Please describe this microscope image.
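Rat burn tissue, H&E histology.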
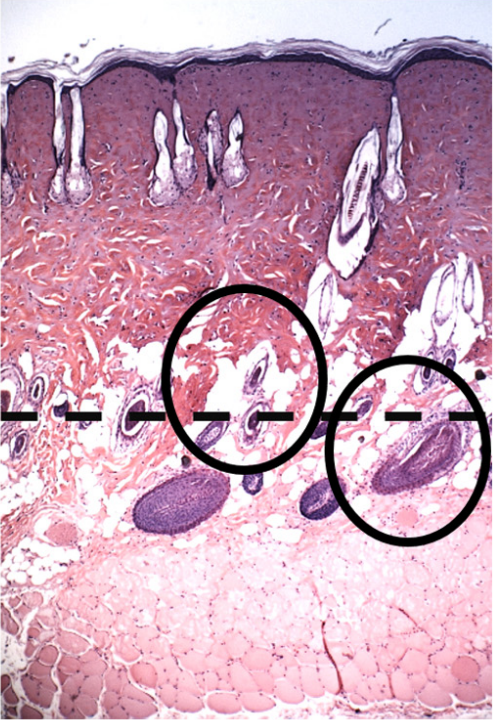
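Hair follicles run through this band, and some deeper follicles are distorted, with clear spaces around them. Below lie adipose tissue with purple follicle bulbs and, at the base, pale skeletal muscle fibres.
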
